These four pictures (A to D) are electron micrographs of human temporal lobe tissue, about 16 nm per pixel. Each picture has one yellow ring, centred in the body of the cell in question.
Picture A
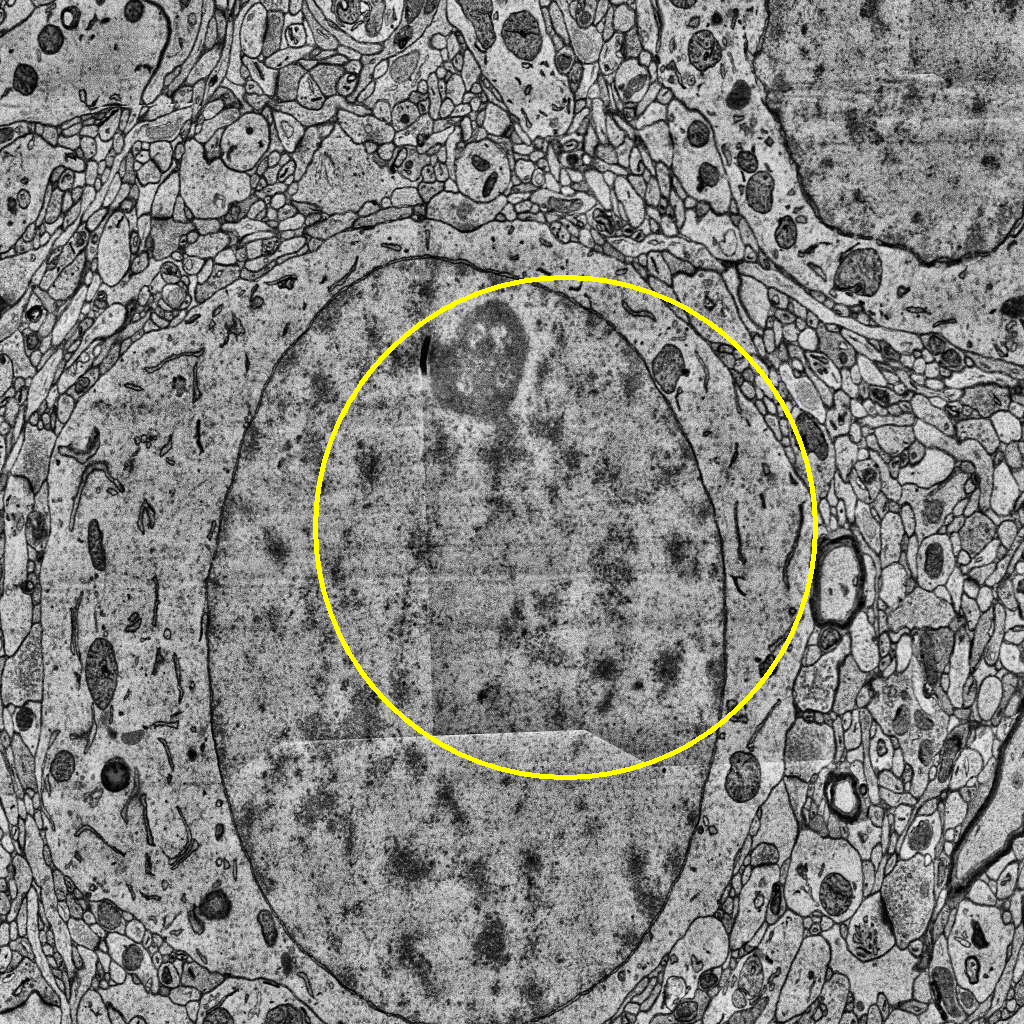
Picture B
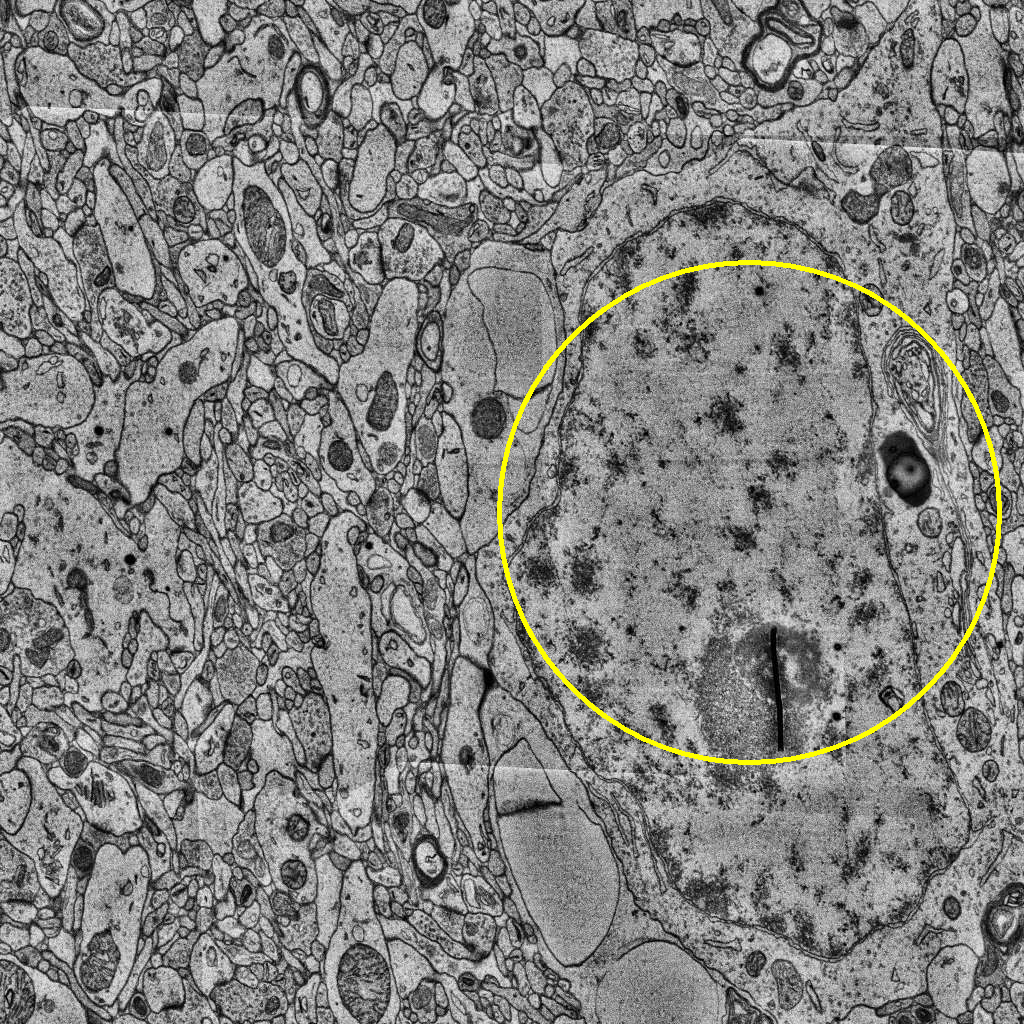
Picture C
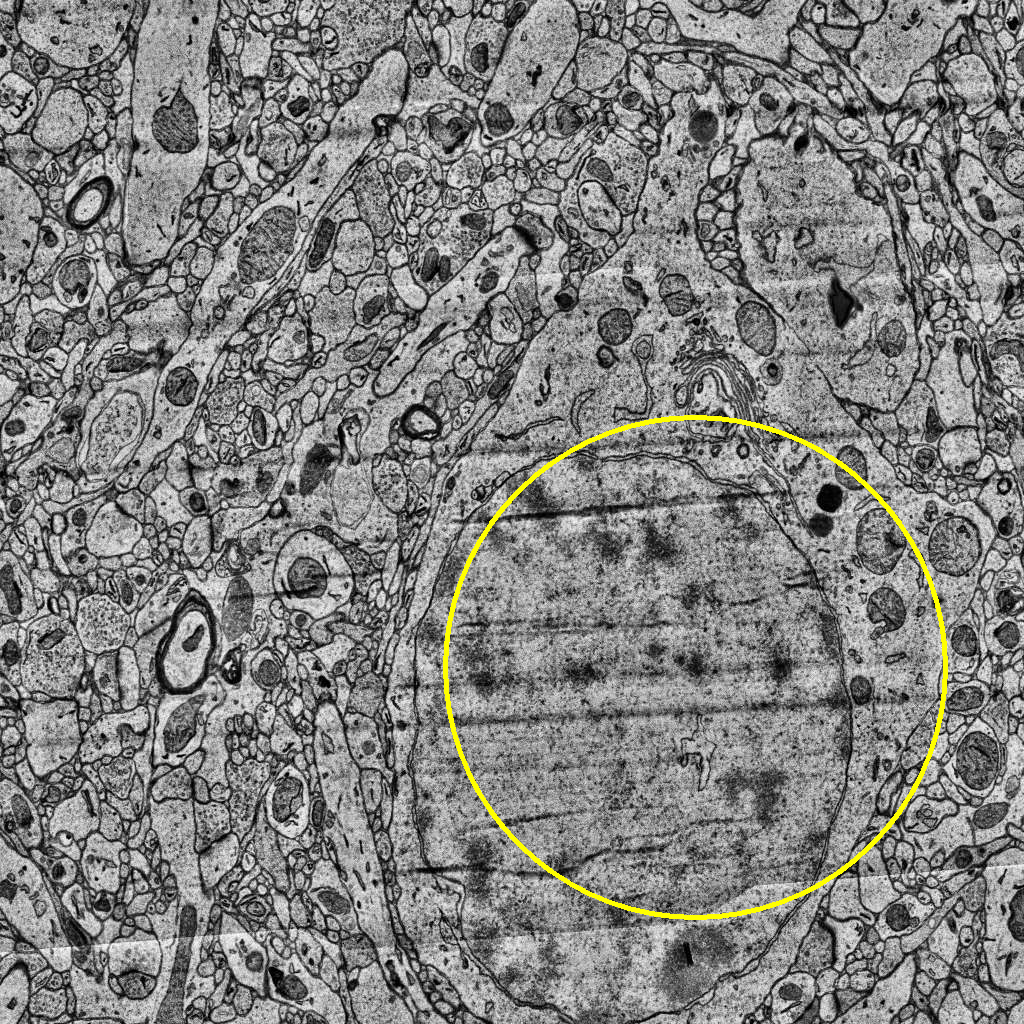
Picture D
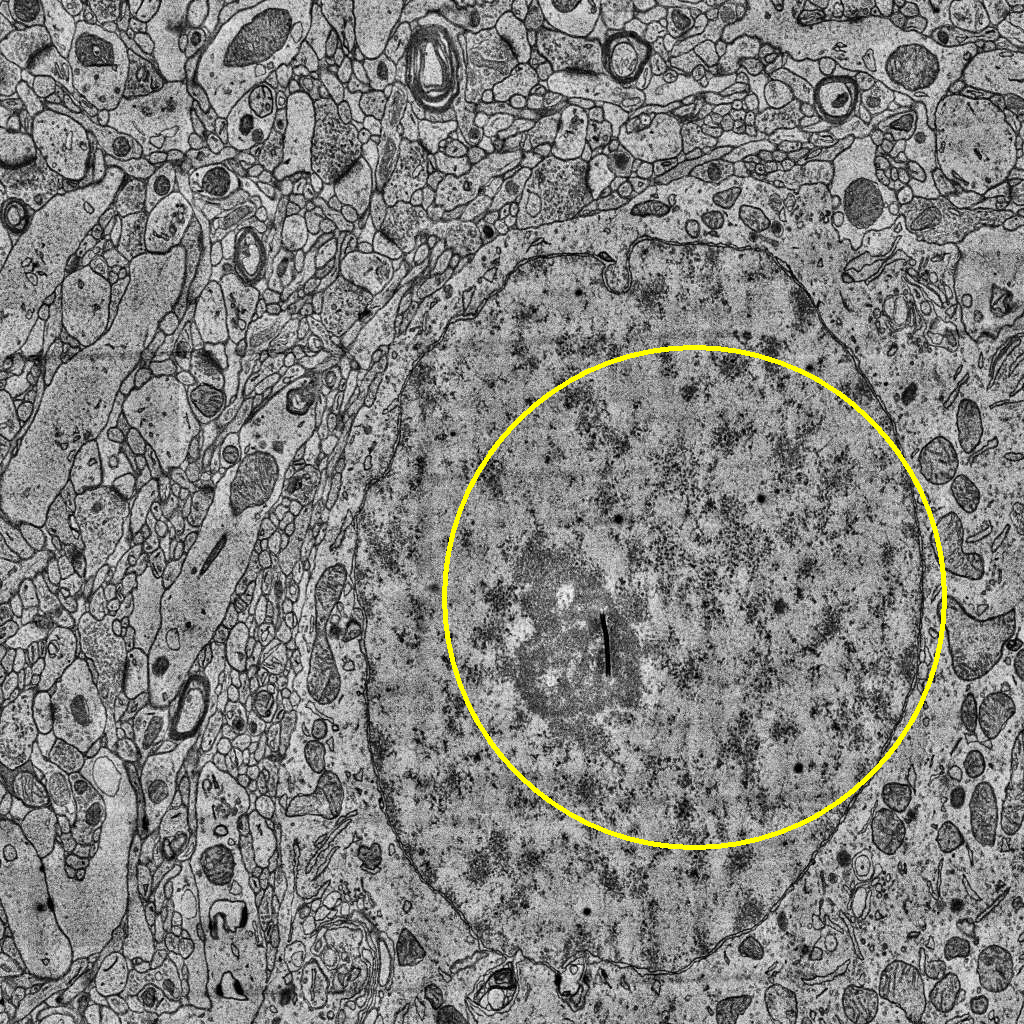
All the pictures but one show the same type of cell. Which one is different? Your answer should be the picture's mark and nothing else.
A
